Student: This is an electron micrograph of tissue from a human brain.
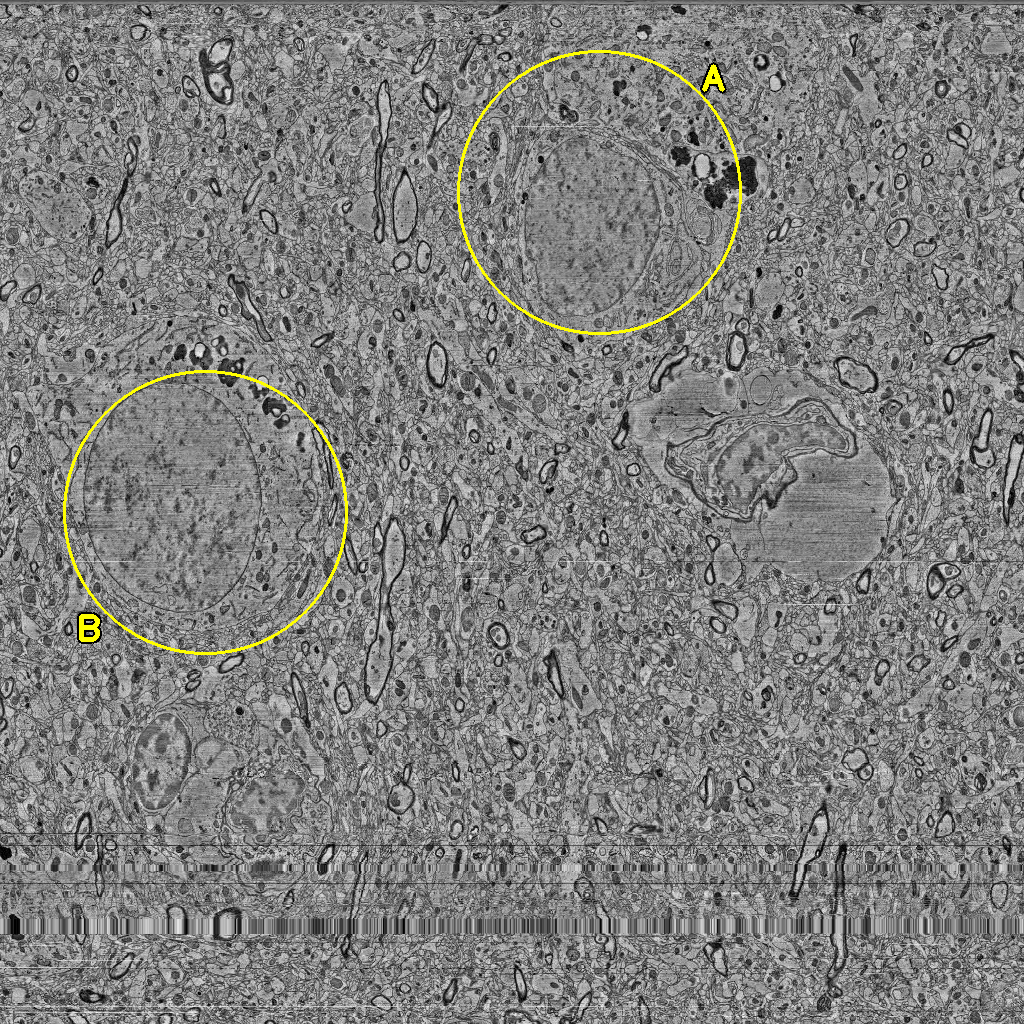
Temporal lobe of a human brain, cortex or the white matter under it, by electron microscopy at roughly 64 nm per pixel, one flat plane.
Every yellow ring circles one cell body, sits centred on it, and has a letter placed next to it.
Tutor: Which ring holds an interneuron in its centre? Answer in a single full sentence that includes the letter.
Ring A is the ring whose centre holds the cell asked for in the picture.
